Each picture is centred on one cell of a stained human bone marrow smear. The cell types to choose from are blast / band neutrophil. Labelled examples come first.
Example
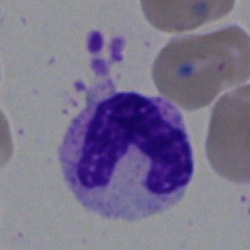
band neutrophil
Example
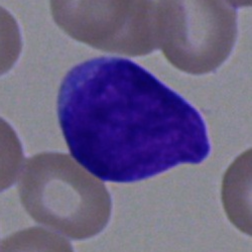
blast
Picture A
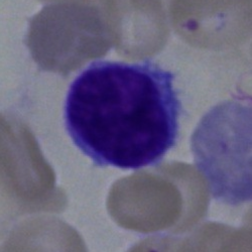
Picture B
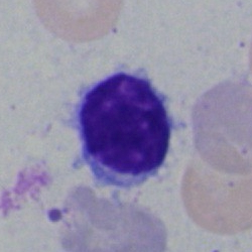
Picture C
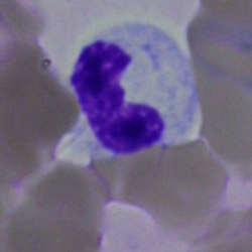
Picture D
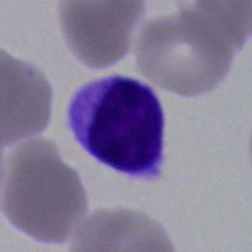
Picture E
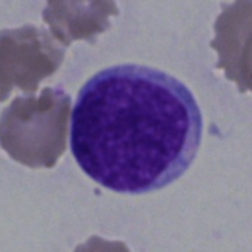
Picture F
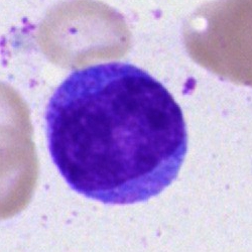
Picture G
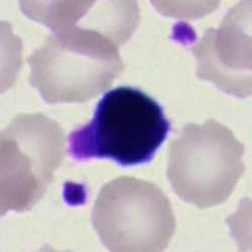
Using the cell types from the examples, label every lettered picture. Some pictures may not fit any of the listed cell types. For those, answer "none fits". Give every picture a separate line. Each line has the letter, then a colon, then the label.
A: none fits
B: none fits
C: band neutrophil
D: none fits
E: blast
F: blast
G: none fits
